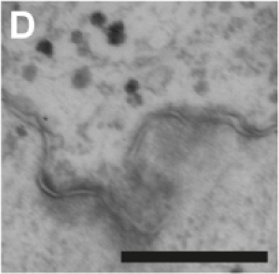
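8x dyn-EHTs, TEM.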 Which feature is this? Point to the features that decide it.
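Desmosomes. A winding pair of closely apposed membranes crosses the field. Dense plaques line the membranes along parts of the junction.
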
